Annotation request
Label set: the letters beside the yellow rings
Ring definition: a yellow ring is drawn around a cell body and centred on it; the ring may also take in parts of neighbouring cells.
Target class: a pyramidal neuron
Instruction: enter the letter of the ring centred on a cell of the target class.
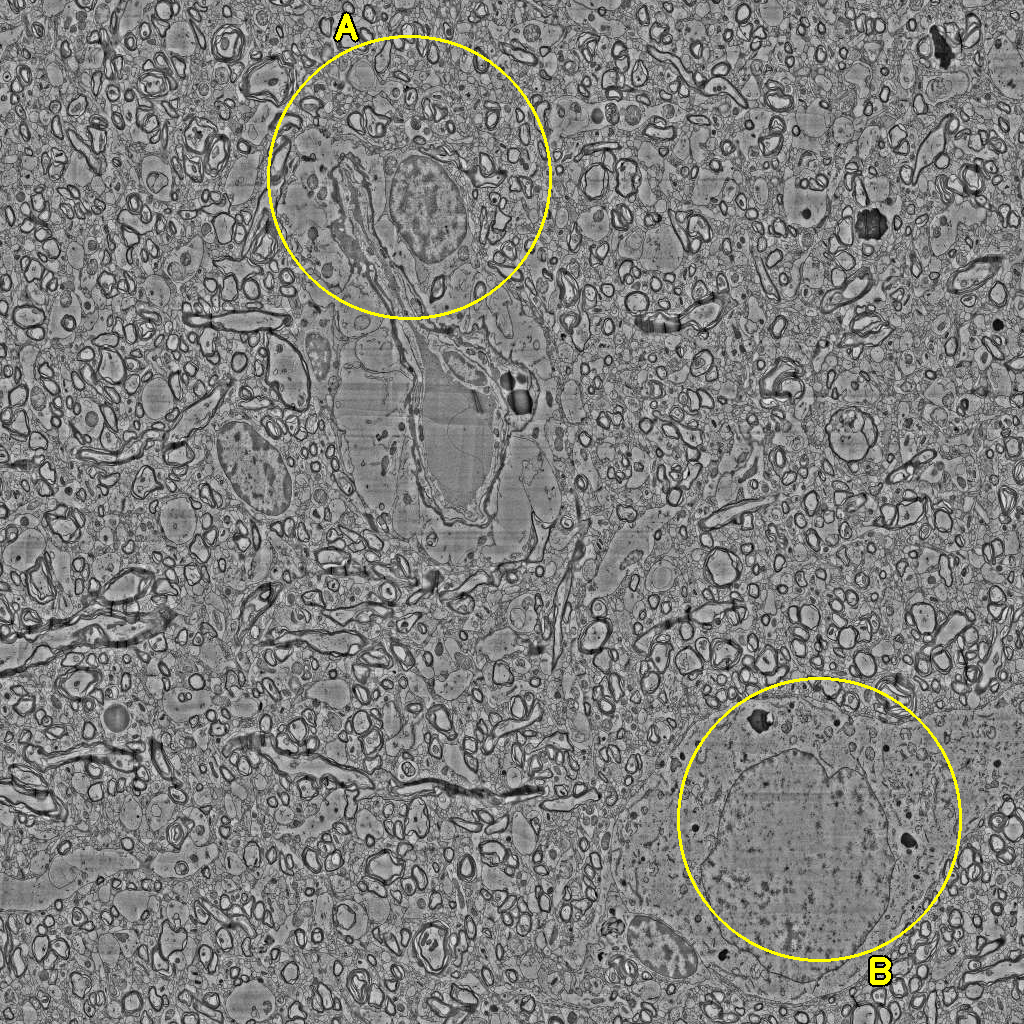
B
